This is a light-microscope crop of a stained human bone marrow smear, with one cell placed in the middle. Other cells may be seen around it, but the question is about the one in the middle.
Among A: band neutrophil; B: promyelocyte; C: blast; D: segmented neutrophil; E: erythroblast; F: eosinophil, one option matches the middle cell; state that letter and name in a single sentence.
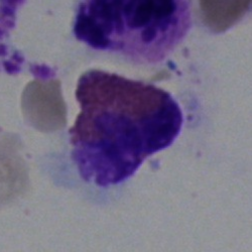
In this crop the central cell is an eosinophil, which option F correctly states.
